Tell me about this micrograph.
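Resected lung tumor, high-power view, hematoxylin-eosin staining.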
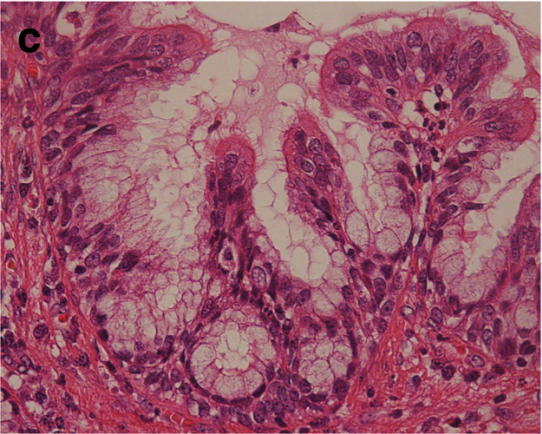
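This is a columnar epithelium made of ciliated columnar cells, goblet cells and basal cells, folded around thin cores of pink stroma. Many of the cells are goblet cells, whose cytoplasm is swollen with pale, bubbly, clear mucin vacuoles that fill the space between the tall cells. Tall columnar cells with oval, purple nuclei line the folds, while smaller nuclei sit low along the base against the stroma. The nuclei look fairly uniform, without marked enlargement or disorder.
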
